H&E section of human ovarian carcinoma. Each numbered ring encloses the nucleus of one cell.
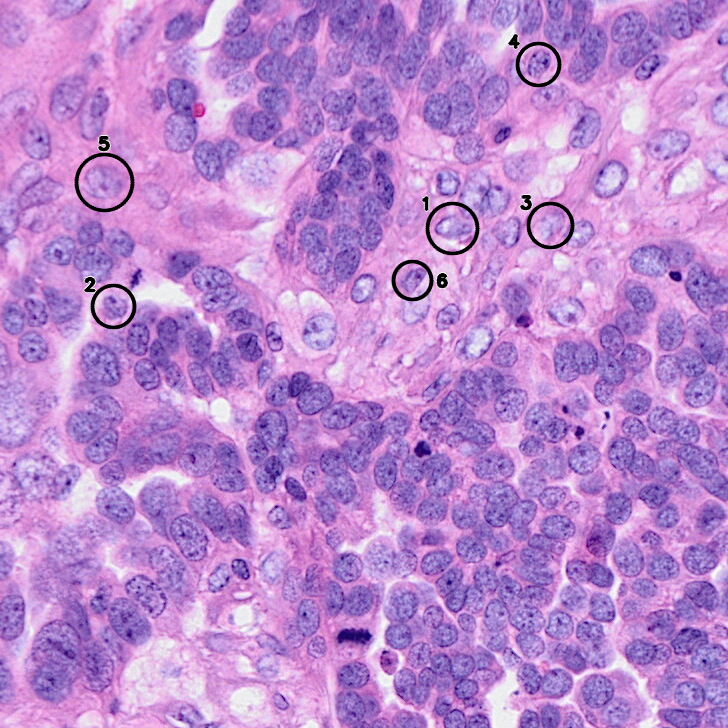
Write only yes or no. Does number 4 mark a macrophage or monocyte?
yes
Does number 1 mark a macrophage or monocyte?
no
